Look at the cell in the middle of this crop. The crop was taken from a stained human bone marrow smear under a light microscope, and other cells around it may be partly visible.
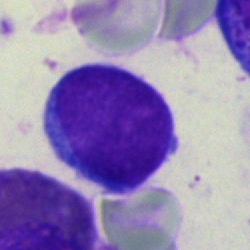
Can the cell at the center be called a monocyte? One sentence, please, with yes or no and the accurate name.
No, in the centre of the crop lies a lymphocyte, not a monocyte.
